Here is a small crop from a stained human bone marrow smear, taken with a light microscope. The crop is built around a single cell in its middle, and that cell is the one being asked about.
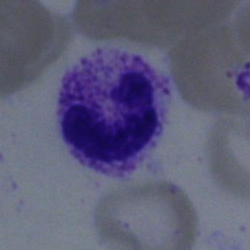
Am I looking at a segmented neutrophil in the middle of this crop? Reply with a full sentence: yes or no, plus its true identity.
Yes, the cell in the center of the field is a segmented neutrophil.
